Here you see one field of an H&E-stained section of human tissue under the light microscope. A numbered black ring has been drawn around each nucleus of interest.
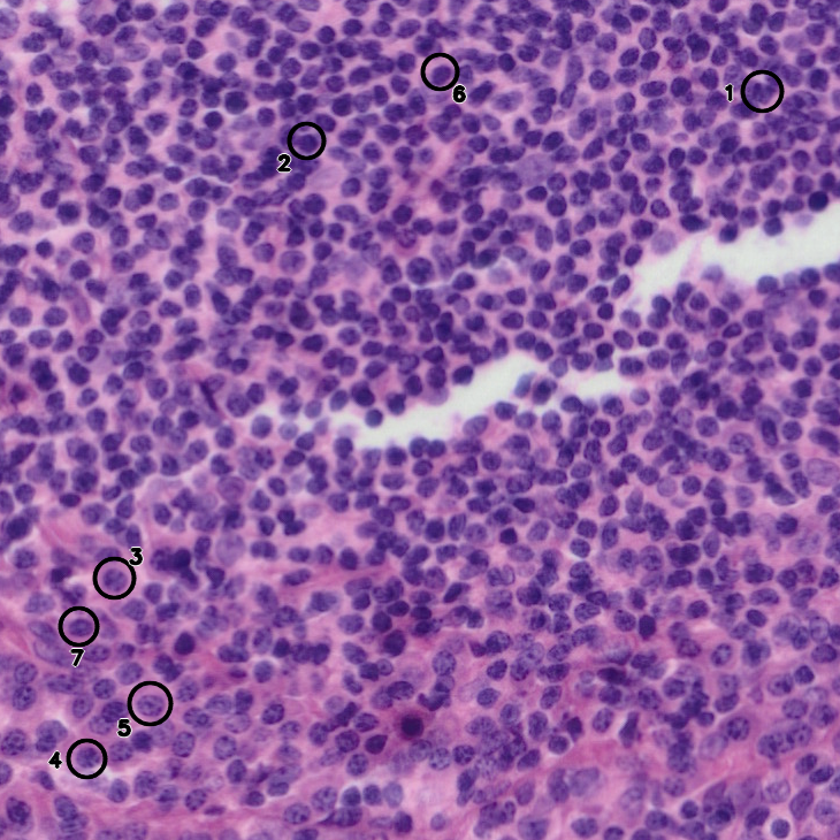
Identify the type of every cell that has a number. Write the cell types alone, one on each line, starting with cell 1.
small lymphocyte
small lymphocyte
plasma cell
plasma cell
plasma cell
small lymphocyte
plasma cell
